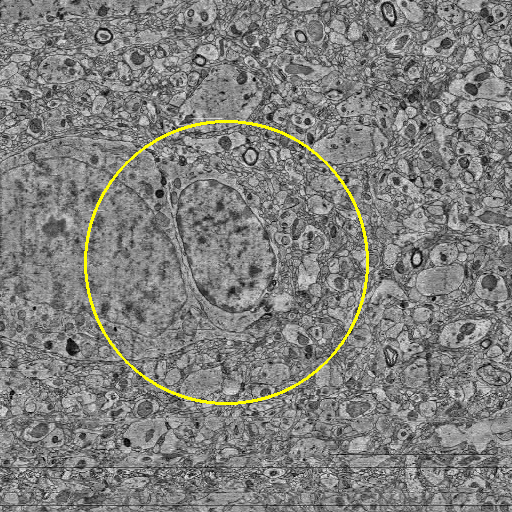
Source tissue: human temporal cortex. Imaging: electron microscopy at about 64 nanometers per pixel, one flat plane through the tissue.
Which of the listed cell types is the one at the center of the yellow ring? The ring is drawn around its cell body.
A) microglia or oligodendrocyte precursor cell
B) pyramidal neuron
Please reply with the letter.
A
